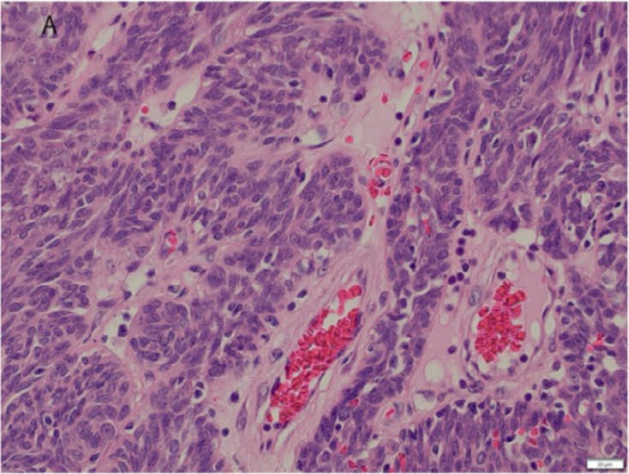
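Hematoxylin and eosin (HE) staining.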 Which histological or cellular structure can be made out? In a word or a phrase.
nested growth pattern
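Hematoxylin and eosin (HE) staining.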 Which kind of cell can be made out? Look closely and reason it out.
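Spindle‐shaped tumor cells. Densely packed cells with elongated, oval to spindle-shaped purple nuclei. Cells lie in streaming, crowded sheets with scant cytoplasm.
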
